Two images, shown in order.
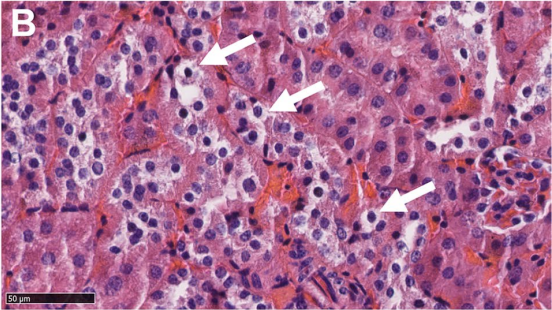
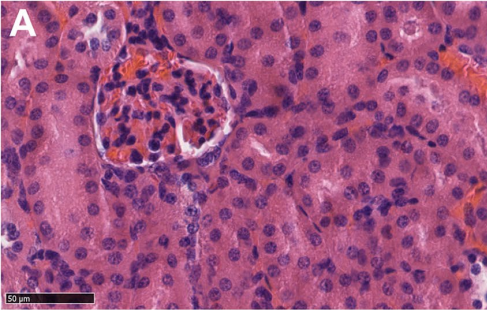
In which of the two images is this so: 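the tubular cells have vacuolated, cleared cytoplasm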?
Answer: the first image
